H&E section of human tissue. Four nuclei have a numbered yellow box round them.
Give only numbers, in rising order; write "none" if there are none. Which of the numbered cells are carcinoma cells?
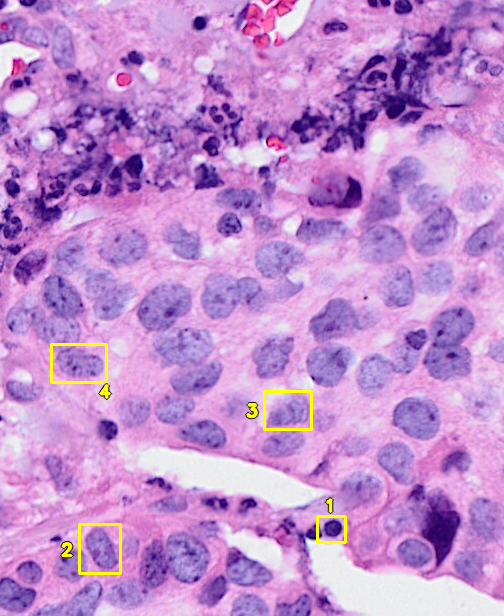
2, 3, 4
